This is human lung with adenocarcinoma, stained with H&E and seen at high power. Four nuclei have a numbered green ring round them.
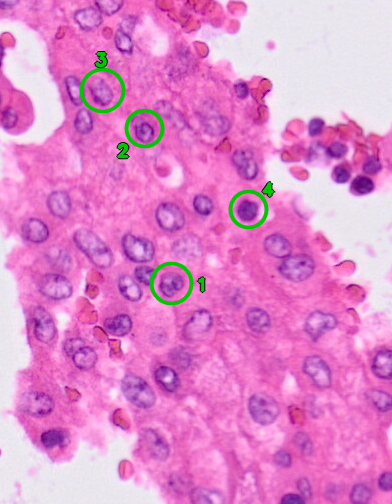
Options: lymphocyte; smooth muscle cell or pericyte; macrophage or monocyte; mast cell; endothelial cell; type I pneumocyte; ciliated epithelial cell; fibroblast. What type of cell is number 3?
macrophage or monocyte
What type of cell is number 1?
macrophage or monocyte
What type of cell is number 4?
lymphocyte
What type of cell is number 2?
macrophage or monocyte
